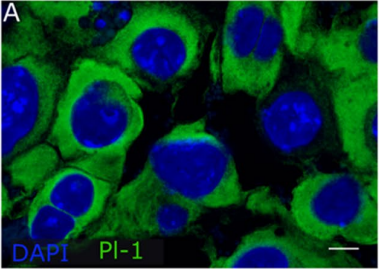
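These are parietal trophoblast giant cells of the placenta, huge cells lying loosely side by side with gaps between them. Each has a wide rim of green-filled cytoplasm around a very large, round to oval blue nucleus, and one cell carries two nuclei pressed together.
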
